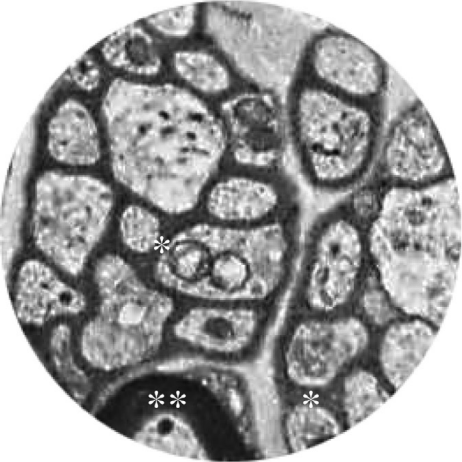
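This cross section shows a Remak bundle: many small unmyelinated axons of differing sizes, each with pale, finely granular axoplasm, lie side by side and are each enwrapped and separated by thin dark sheets of Schwann cell cytoplasm. At the lower edge of the field part of a myelinated fiber is seen, its thick compact myelin sheath appearing as a broad, uniformly dark band.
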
